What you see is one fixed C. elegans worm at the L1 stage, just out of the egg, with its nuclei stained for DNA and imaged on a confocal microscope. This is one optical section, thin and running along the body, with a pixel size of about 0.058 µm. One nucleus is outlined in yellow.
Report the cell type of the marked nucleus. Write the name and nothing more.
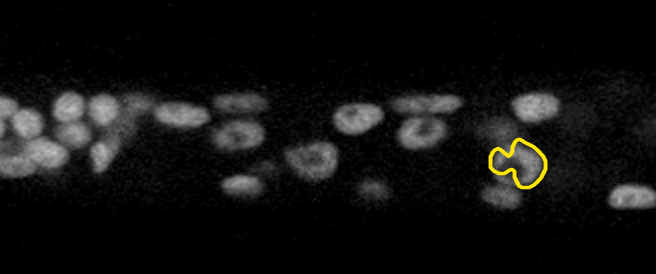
M mesoblast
